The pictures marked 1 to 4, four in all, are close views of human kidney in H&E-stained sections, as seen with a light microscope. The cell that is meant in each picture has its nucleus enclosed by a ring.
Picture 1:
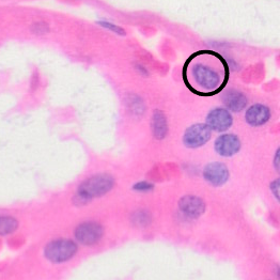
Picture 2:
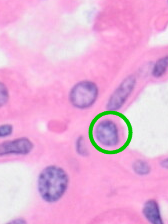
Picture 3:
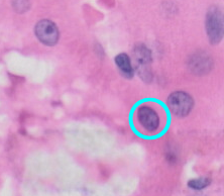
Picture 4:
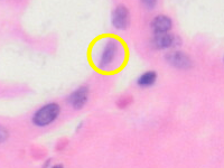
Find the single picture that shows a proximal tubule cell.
3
